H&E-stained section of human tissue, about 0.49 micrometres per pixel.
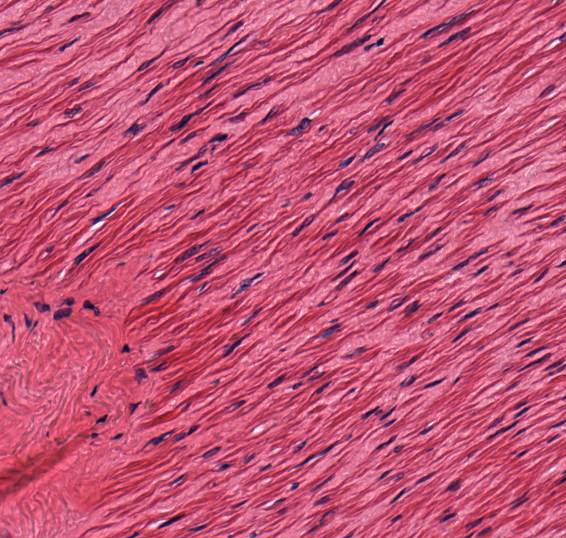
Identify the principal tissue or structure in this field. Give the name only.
tunica media of an artery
